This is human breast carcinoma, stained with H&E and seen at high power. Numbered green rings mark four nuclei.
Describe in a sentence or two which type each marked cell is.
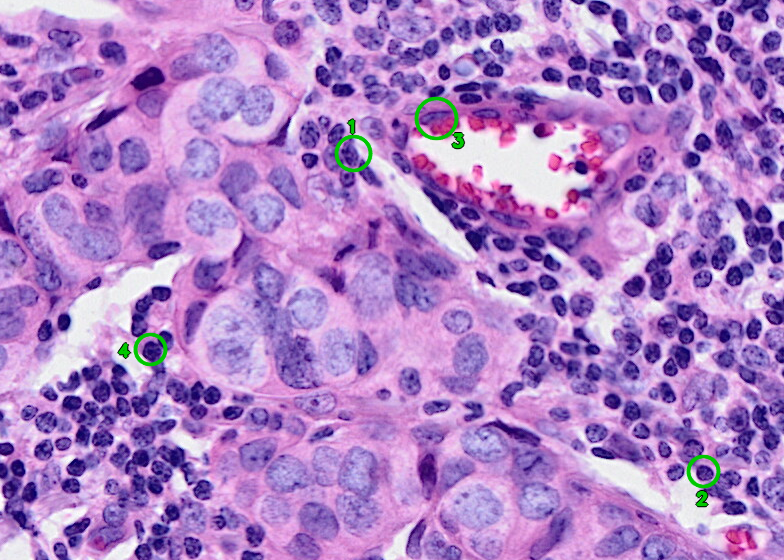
Cell 1 is a lymphocyte, cell 2 is a lymphocyte, cell 3 is an endothelial cell and cell 4 is a lymphocyte.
